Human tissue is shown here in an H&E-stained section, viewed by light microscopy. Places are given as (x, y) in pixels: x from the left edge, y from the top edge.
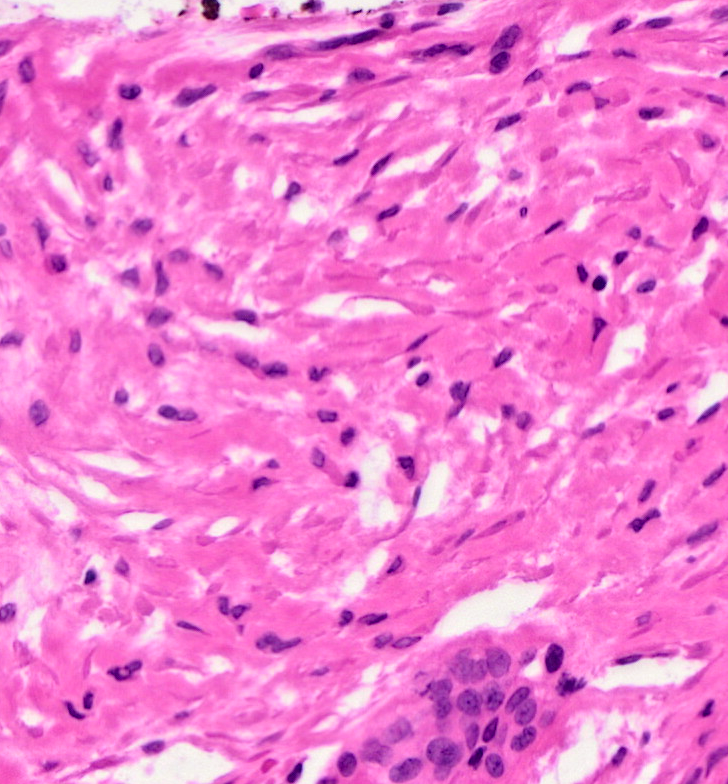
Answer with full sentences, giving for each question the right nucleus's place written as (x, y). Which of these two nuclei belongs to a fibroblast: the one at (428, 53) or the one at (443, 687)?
Of the two, the nucleus at (428, 53) is the one contained in a fibroblast.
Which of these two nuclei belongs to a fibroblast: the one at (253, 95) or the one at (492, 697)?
Lying within a fibroblast is the nucleus at (253, 95).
